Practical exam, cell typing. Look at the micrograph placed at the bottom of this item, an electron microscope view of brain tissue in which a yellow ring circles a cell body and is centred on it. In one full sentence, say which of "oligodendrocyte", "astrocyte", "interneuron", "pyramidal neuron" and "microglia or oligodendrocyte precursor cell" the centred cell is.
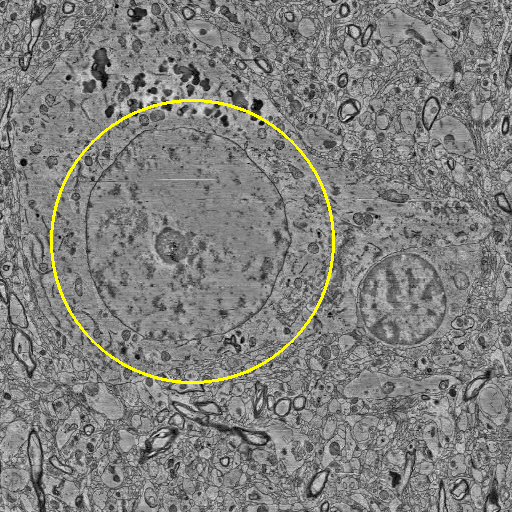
Given the options, a pyramidal neuron fits the cell whose body the yellow ring is centred on.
